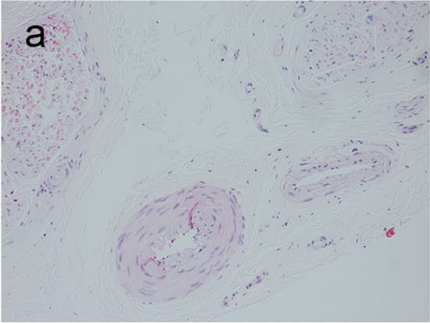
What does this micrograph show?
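Peripheral nerve cut across, with pink nerve fascicles at the upper left and upper right set in pale, loose connective tissue. In the centre lies a thick-walled vessel whose wall is made of concentric layers of pink smooth muscle around a small lumen, with a smaller vessel beside it. Dark purple nuclei are scattered sparsely in the connective tissue, a few gathered near the vessels.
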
